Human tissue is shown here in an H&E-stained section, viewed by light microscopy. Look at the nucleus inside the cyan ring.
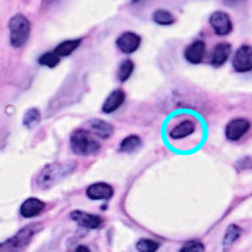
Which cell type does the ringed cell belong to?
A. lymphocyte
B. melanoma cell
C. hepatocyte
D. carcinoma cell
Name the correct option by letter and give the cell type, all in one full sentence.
With the ringed cell being a lymphocyte, option A is correct.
